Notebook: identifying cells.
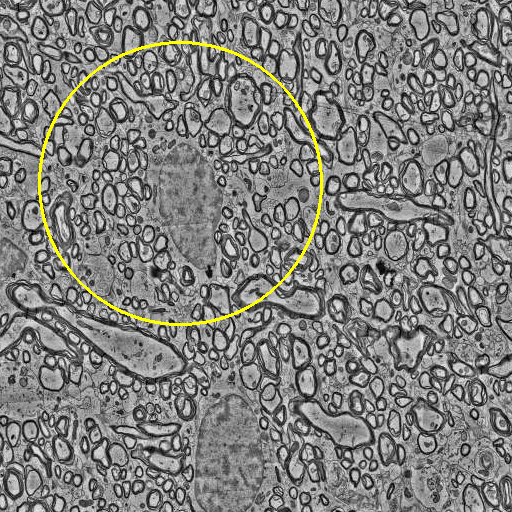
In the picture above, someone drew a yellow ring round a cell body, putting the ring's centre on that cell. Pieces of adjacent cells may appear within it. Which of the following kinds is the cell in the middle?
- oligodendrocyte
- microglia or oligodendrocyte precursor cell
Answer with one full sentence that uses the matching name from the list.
In this picture, the yellow ring is centred on the body of an oligodendrocyte.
